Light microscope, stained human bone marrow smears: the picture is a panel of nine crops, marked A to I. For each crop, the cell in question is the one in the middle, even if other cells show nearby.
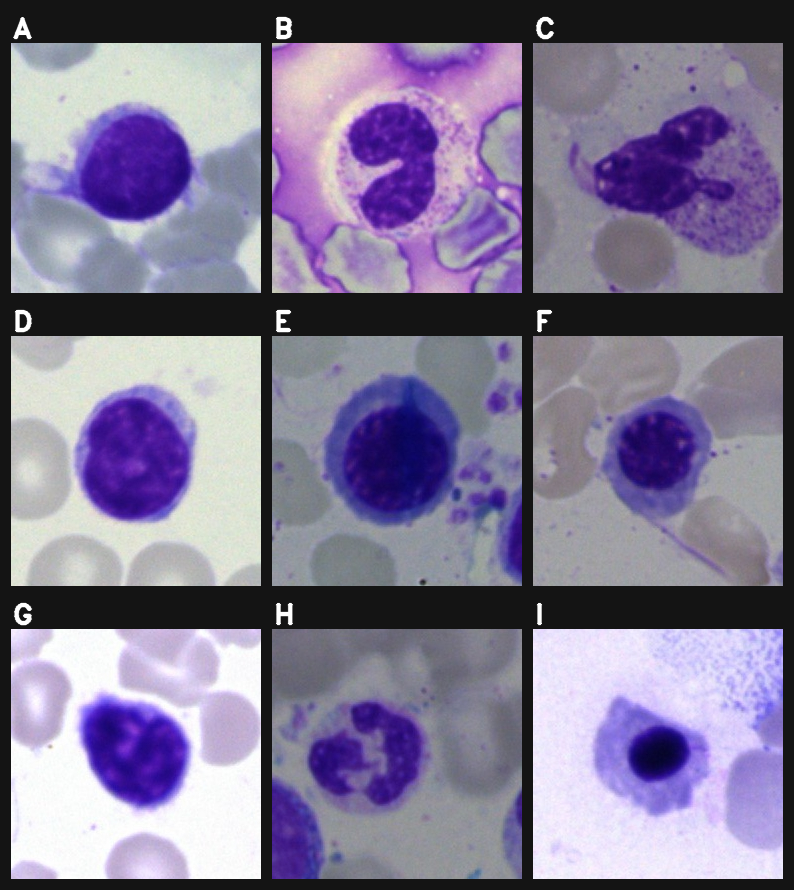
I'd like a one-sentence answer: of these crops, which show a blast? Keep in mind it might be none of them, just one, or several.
None of these crops has a blast at its center.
